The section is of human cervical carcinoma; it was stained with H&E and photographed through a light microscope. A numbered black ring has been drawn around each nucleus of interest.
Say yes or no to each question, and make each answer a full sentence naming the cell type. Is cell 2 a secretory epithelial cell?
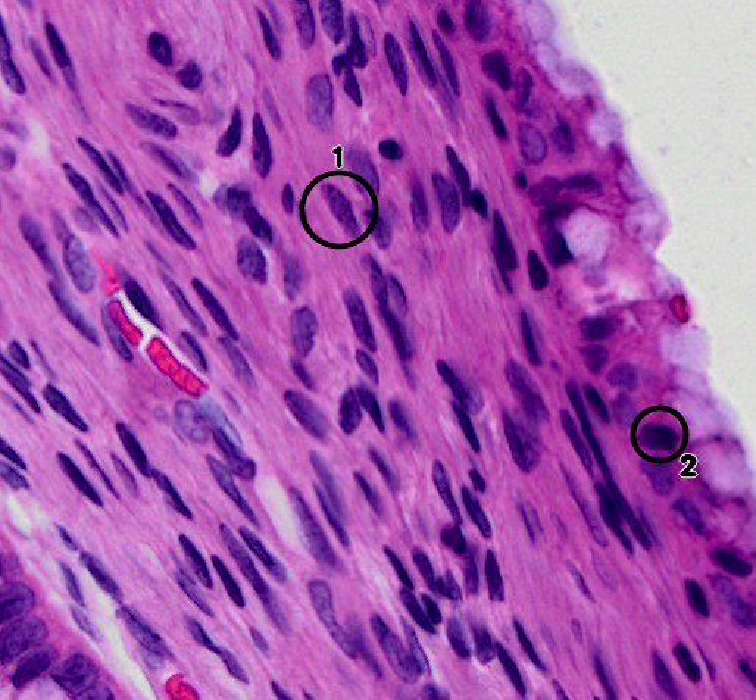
Yes, of the numbered cells, number 2 is a secretory epithelial cell.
